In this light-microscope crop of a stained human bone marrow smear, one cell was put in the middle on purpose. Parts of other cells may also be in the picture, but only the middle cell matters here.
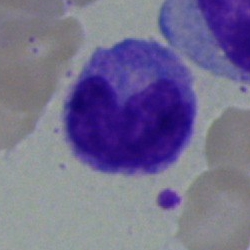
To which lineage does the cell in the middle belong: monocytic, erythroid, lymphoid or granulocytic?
monocytic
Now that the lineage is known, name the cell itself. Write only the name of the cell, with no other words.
monocyte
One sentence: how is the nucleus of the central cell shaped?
Worth pointing out that its nucleus is one compact mass, round, oval or reniform.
